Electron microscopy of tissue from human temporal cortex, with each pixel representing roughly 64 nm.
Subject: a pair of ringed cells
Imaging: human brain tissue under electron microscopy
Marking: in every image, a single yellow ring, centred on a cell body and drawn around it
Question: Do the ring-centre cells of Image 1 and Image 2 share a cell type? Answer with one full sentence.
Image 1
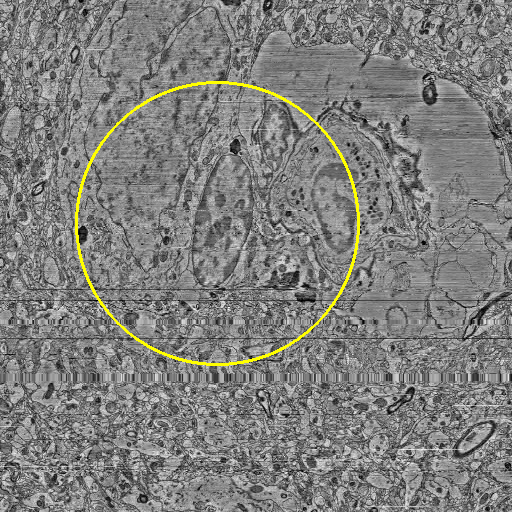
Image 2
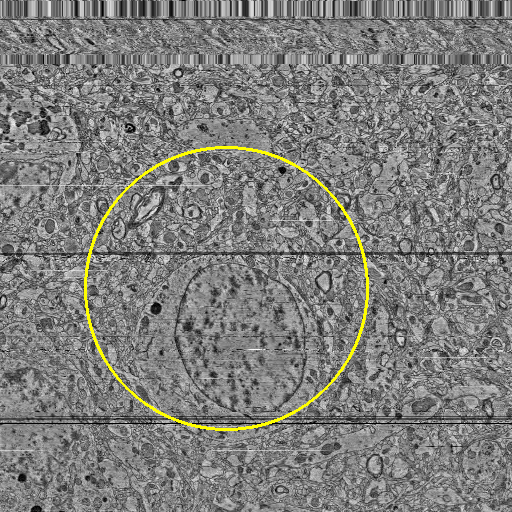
No, at the ring centres in the images sit cells of two separate types.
